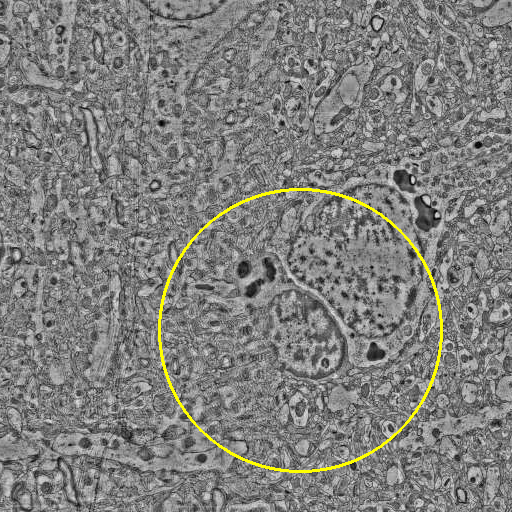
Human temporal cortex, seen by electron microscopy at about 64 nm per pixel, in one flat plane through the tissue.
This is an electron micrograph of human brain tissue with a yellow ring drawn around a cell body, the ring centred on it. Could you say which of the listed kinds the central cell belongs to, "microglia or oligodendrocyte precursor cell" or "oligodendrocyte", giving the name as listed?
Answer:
oligodendrocyte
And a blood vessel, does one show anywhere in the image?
No, no blood vessel shows in the picture.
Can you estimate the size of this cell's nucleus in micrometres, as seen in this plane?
In this plane the nucleus spans approximately 6 by 4 micrometers.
